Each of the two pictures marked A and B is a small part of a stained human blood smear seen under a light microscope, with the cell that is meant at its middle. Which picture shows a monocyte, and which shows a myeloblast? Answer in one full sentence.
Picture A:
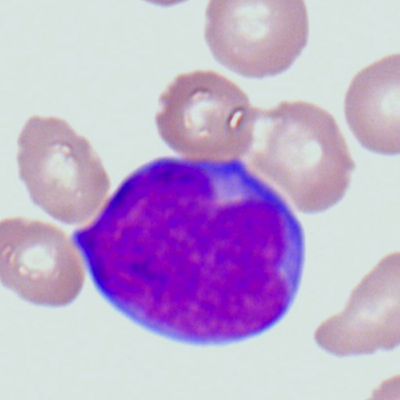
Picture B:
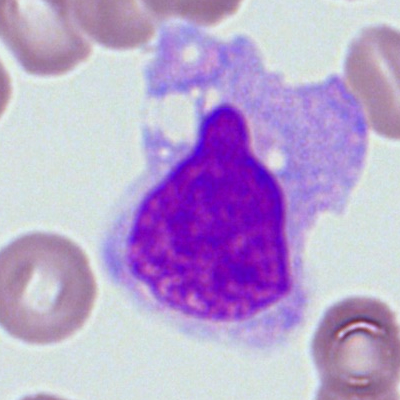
It is picture A that shows a myeloblast, and picture B that shows a monocyte.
